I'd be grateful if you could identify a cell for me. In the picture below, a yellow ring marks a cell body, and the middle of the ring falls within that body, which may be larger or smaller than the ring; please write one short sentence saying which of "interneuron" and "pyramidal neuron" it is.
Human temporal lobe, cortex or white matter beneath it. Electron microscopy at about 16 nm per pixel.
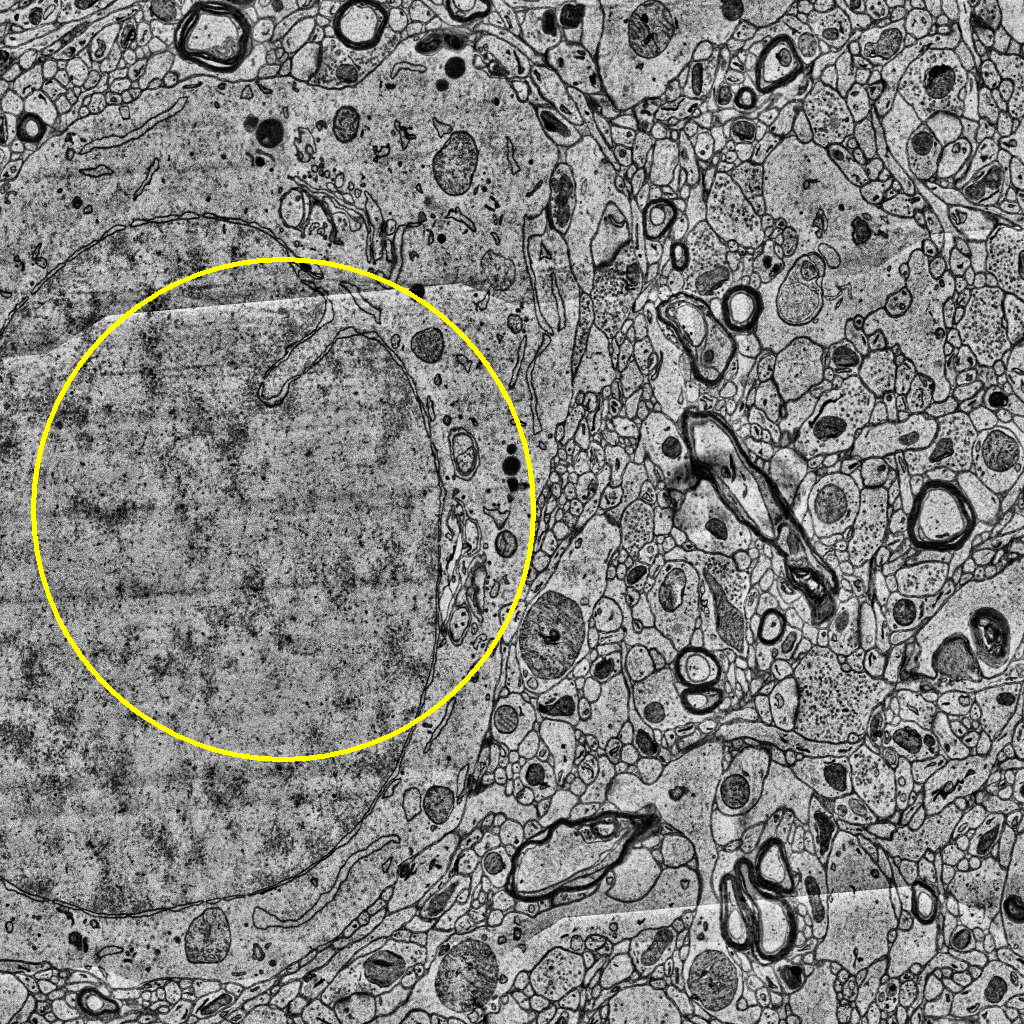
The cell under the ring's centre is an interneuron.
